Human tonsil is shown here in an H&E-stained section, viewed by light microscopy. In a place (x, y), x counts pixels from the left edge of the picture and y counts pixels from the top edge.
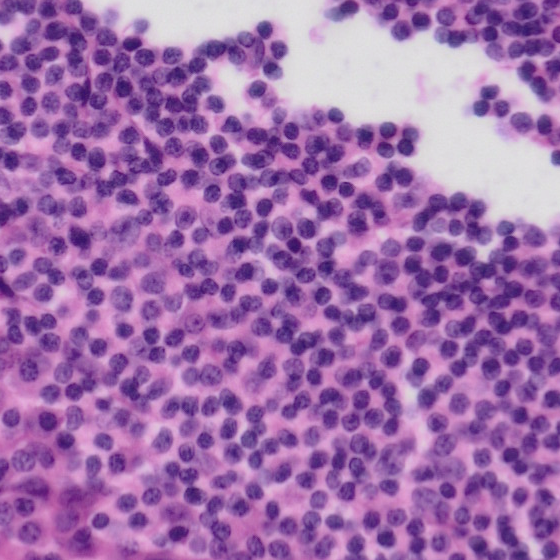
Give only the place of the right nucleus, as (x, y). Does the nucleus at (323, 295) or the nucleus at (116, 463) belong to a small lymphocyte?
(323, 295)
